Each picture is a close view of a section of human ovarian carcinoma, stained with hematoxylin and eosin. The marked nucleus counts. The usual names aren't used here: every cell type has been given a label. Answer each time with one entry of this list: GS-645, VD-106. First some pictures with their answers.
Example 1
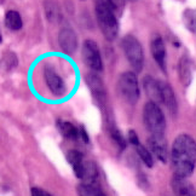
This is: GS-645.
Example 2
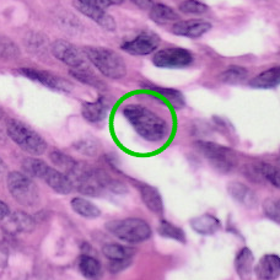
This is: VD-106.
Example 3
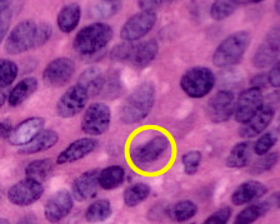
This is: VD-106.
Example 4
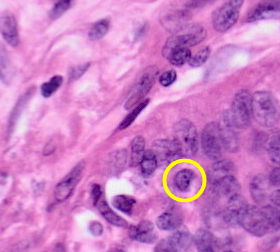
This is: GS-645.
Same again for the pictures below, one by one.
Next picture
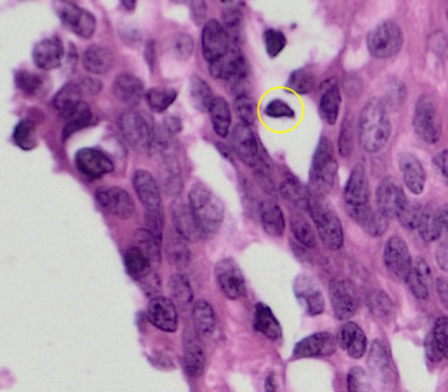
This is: VD-106.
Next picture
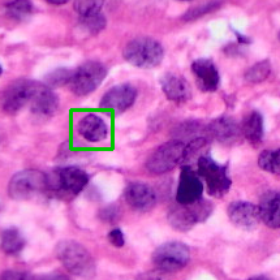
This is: GS-645.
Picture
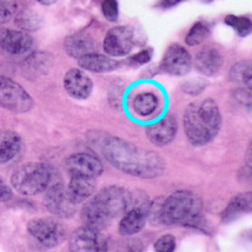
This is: GS-645.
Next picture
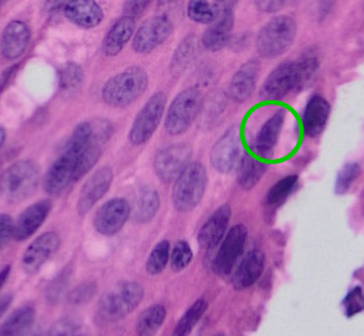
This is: VD-106.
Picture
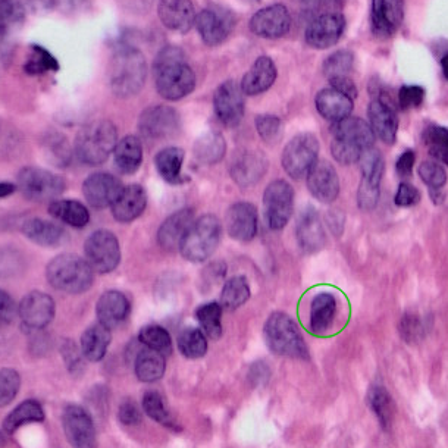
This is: GS-645.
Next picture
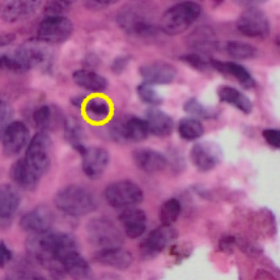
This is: GS-645.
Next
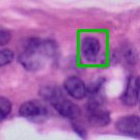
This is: GS-645.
